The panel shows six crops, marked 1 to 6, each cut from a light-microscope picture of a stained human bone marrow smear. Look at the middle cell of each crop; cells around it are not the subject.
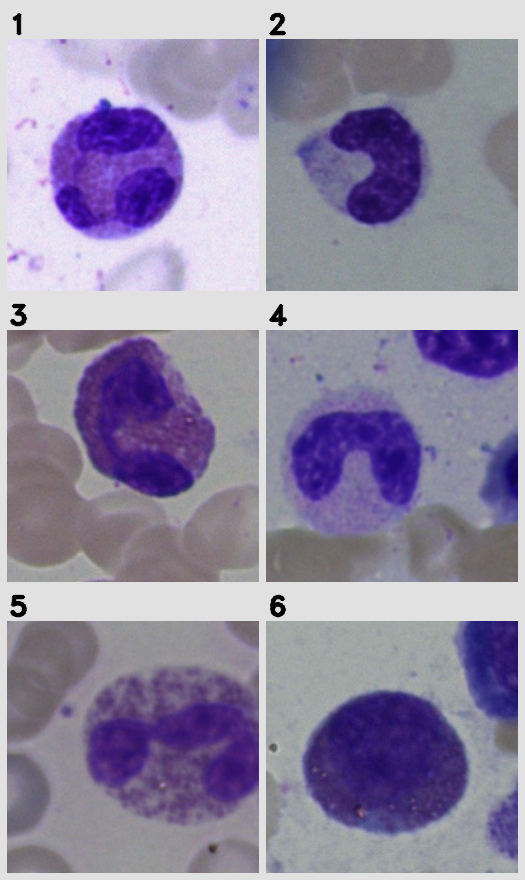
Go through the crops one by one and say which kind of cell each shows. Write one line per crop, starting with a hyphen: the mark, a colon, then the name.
- 1: eosinophil
- 2: band neutrophil
- 3: eosinophil
- 4: band neutrophil
- 5: eosinophil
- 6: eosinophil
